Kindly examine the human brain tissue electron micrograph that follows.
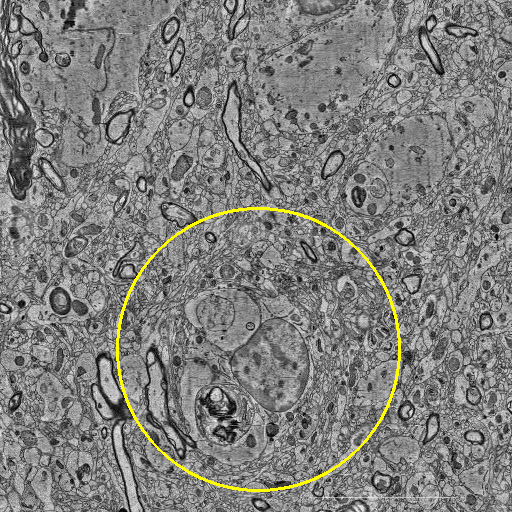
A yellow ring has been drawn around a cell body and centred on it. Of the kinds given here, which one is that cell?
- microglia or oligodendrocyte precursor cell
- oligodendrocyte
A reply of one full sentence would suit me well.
The micrograph's ringed cell, the one at the ring's centre, is a microglial cell or oligodendrocyte precursor cell.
